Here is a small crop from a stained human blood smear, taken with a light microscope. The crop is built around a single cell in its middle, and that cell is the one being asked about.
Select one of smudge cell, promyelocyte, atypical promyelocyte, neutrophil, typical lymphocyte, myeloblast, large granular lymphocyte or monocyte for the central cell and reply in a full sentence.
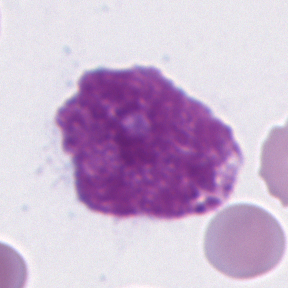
Classification of the middle cell gives a smudge cell.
